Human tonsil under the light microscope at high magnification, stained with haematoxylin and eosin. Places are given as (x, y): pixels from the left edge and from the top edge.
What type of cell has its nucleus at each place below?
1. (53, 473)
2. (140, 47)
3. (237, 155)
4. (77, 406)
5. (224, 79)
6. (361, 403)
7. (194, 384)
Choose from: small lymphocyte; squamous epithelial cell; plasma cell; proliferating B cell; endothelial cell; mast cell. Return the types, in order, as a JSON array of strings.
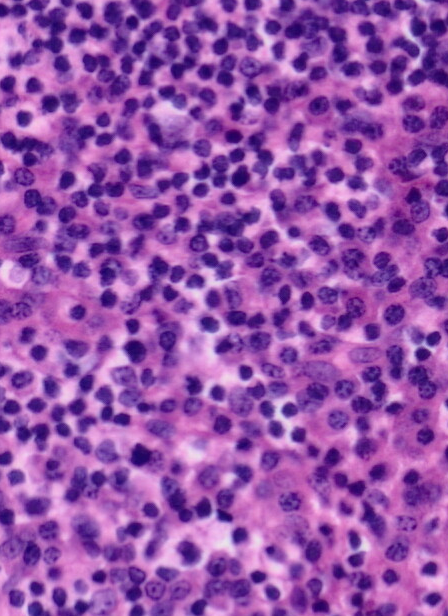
["plasma cell", "small lymphocyte", "small lymphocyte", "small lymphocyte", "small lymphocyte", "plasma cell", "plasma cell"]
